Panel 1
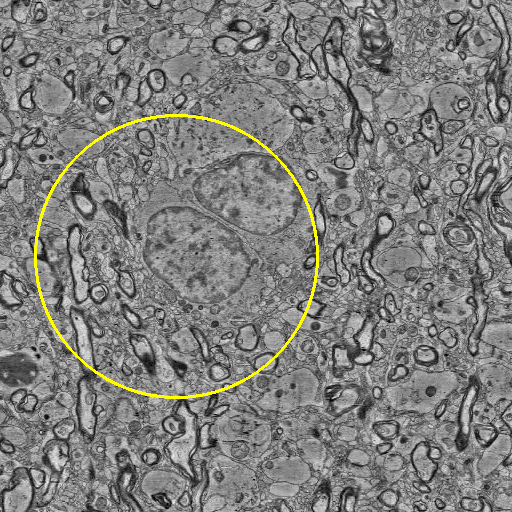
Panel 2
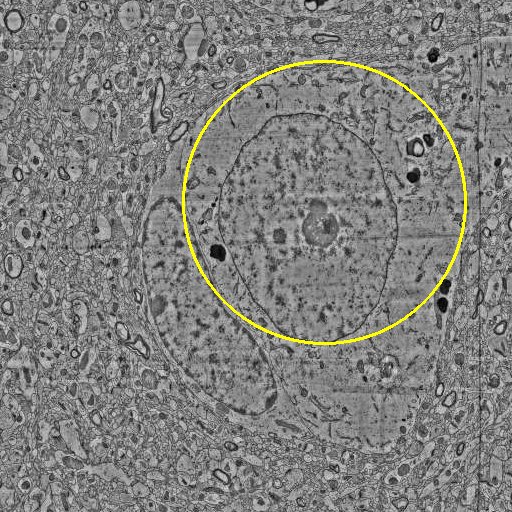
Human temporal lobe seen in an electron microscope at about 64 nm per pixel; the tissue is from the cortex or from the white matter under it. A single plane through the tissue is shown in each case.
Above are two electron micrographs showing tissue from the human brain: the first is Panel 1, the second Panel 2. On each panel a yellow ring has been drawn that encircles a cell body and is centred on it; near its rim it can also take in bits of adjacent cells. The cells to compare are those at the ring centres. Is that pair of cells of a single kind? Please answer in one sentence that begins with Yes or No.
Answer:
No, the ring-centred cells of Panel 1 and Panel 2 belong to two kinds.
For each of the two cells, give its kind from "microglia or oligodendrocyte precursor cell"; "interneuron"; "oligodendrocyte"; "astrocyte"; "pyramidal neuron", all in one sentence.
The first picture has an oligodendrocyte in its ring, the second has a pyramidal neuron.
